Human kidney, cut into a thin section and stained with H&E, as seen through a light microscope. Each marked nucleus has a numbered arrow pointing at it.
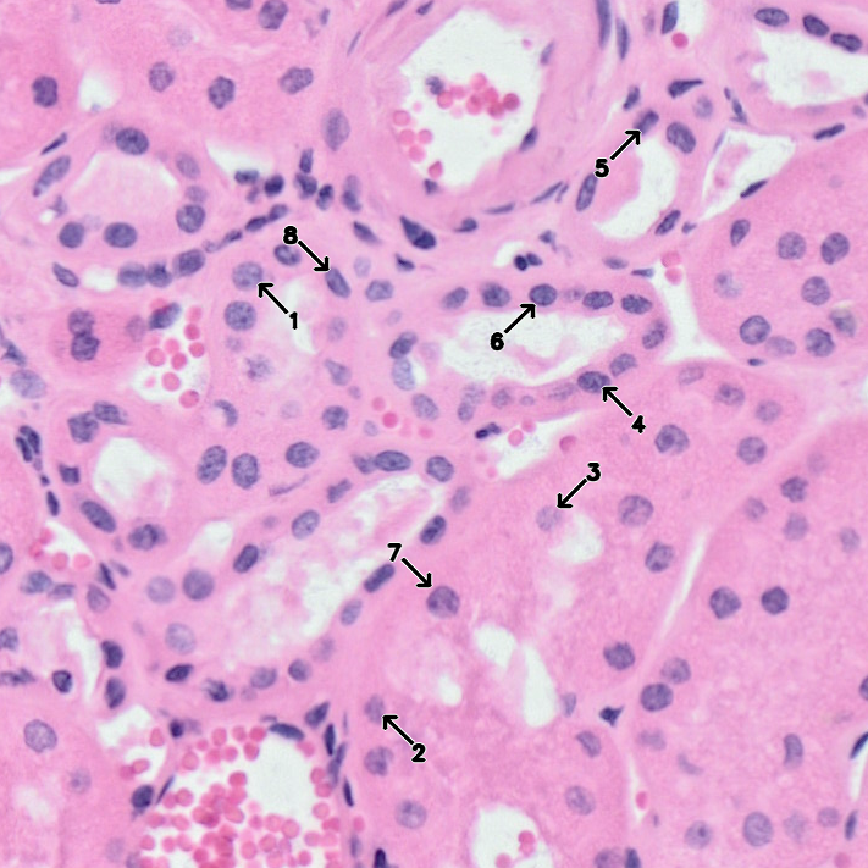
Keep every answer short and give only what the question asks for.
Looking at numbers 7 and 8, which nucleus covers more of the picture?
7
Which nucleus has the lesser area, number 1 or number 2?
2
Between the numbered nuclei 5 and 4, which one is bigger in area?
4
